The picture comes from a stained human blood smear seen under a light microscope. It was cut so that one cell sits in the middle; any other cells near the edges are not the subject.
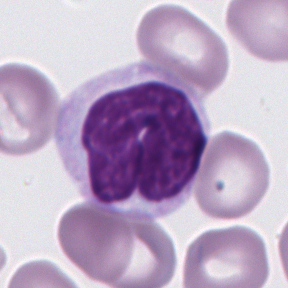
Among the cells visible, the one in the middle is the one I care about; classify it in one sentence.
The centrally positioned cell in the crop represents a band neutrophil.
